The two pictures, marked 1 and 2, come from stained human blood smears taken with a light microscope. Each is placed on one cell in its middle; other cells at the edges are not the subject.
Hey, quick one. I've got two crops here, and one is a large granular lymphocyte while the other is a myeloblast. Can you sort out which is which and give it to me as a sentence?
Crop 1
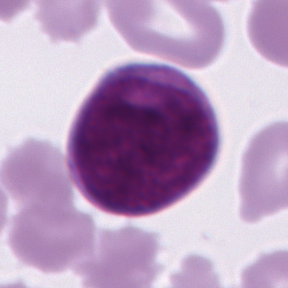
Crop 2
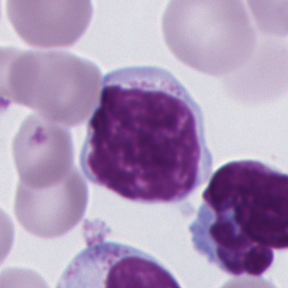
In short, crop 1 is a myeloblast and crop 2 is a large granular lymphocyte.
